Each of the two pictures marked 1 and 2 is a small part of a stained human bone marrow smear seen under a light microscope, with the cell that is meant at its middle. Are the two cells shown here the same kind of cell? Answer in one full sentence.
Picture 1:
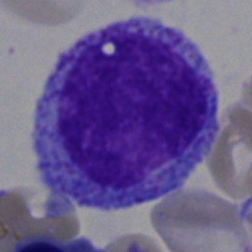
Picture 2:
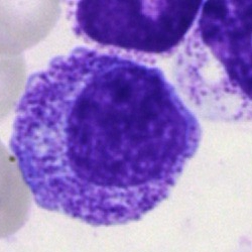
No; the cell in picture 1 is a promyelocyte, while the one in picture 2 is a myelocyte.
